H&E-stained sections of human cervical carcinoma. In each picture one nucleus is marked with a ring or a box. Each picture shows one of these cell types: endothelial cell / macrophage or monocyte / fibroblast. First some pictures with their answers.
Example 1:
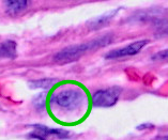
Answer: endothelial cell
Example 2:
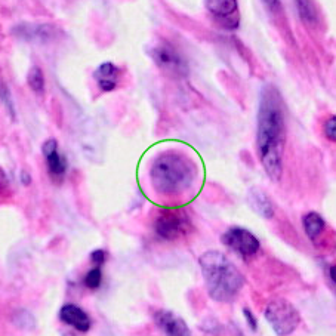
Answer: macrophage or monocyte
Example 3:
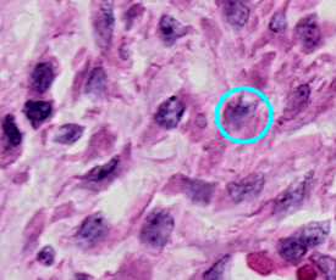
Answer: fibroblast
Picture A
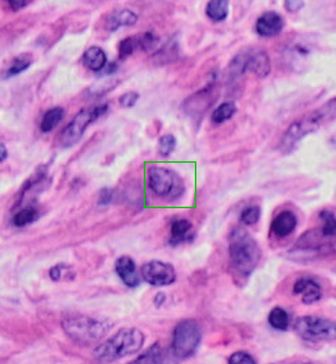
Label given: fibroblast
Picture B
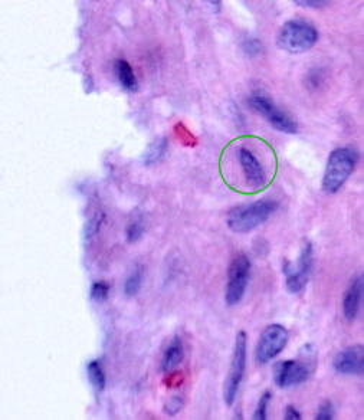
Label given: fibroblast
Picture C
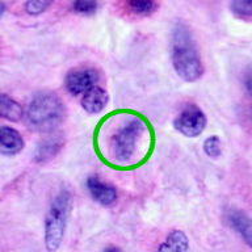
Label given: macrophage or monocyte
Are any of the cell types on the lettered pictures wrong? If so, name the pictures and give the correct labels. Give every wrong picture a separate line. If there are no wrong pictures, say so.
A: not fibroblast but macrophage or monocyte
